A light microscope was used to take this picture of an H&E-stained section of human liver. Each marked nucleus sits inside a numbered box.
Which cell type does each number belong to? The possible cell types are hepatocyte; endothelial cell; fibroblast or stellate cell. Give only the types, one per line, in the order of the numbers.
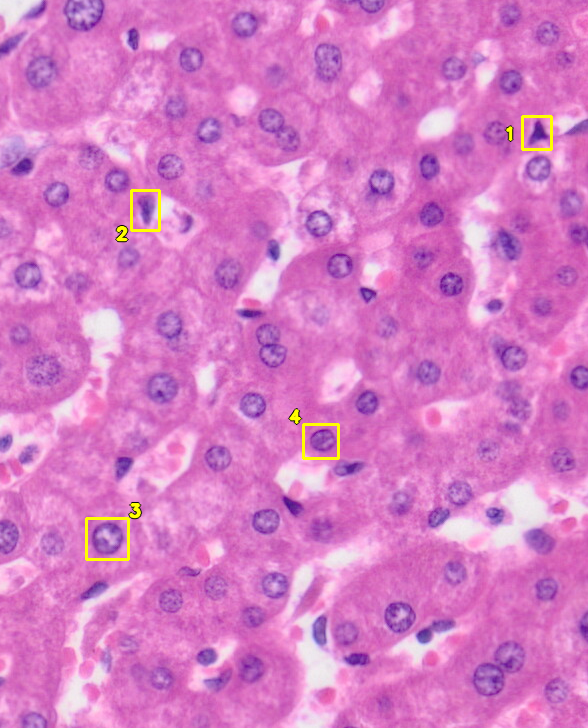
fibroblast or stellate cell
endothelial cell
hepatocyte
hepatocyte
